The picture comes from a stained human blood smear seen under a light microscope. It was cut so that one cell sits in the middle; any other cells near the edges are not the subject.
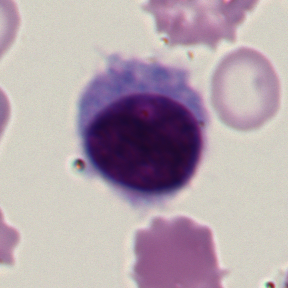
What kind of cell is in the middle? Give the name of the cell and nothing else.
hairy cell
